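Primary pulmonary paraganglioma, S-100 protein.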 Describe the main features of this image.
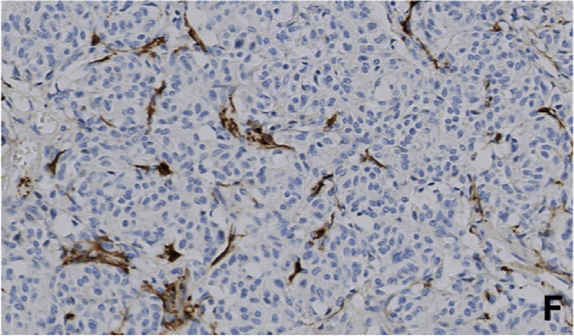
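Nests of tumour cells with pale cytoplasm and blue oval nuclei remain unstained, while scattered thin, elongated cells are stained dark brown. The brown cells lie at the margins of the nests and along the septa between them, with slender branching cytoplasmic extensions. This pattern shows sustentacular cells surrounding the tumor nests, separate from the unstained neoplastic cells.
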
